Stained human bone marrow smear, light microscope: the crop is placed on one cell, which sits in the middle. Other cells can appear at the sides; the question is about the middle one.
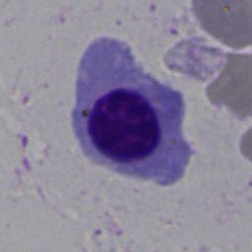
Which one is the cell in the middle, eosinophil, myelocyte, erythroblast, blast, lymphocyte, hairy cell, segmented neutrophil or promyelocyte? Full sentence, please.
The central element of this crop is a cell, namely an erythroblast.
